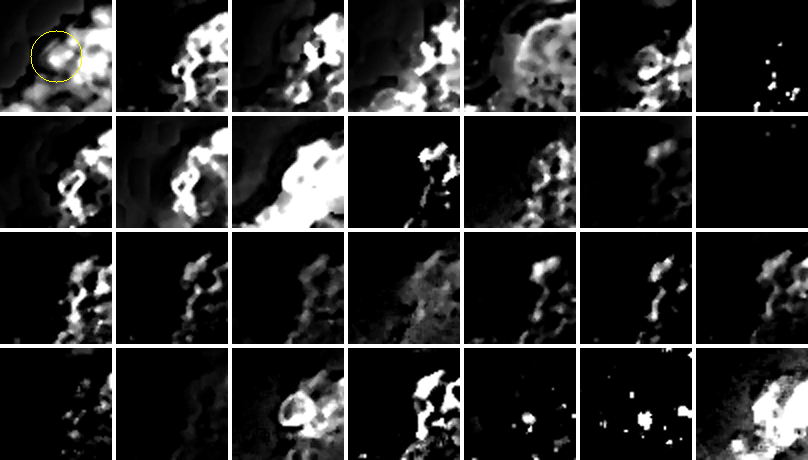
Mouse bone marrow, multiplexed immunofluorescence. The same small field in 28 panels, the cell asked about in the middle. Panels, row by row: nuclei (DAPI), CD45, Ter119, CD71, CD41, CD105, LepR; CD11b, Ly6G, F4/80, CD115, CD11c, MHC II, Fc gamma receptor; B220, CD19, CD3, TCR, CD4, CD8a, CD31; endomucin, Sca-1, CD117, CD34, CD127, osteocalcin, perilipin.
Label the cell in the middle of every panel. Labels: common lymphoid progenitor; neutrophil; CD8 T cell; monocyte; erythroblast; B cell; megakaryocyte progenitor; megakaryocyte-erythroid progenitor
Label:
megakaryocyte progenitor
